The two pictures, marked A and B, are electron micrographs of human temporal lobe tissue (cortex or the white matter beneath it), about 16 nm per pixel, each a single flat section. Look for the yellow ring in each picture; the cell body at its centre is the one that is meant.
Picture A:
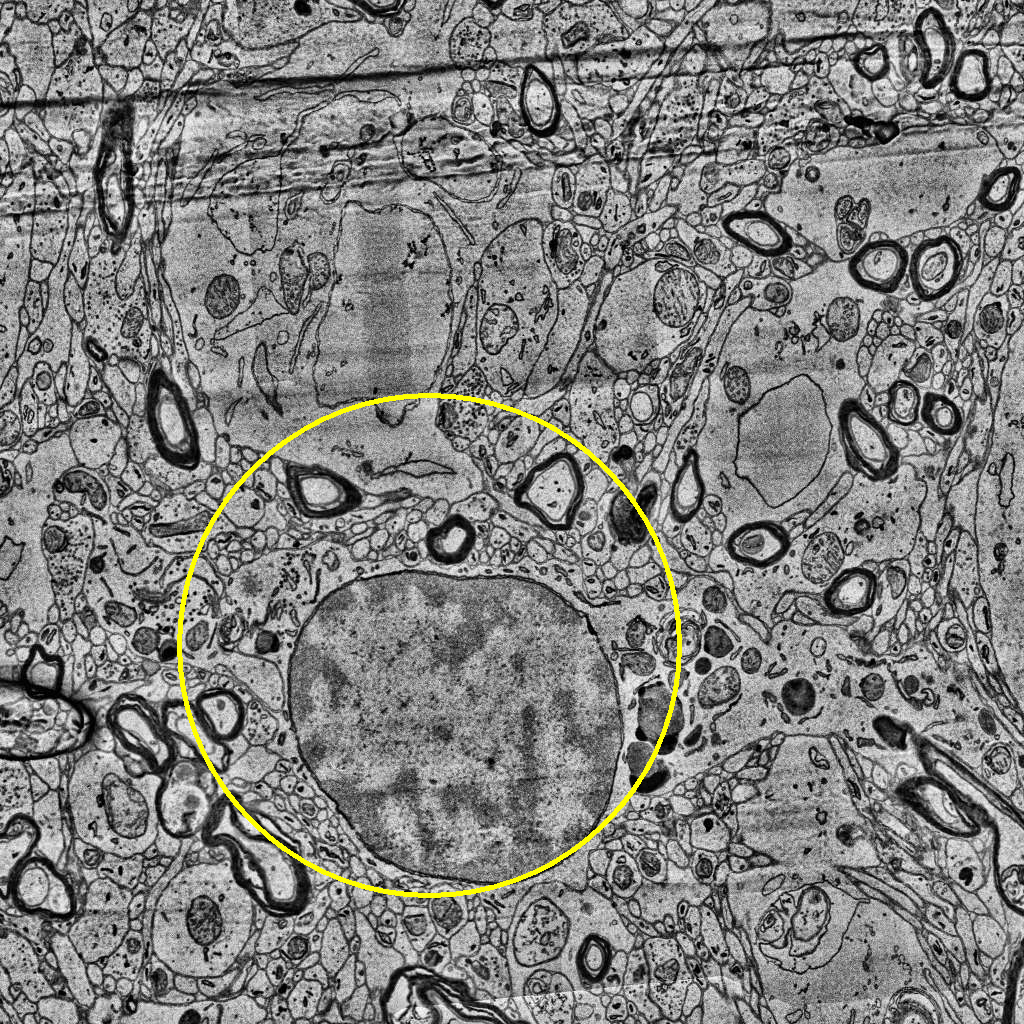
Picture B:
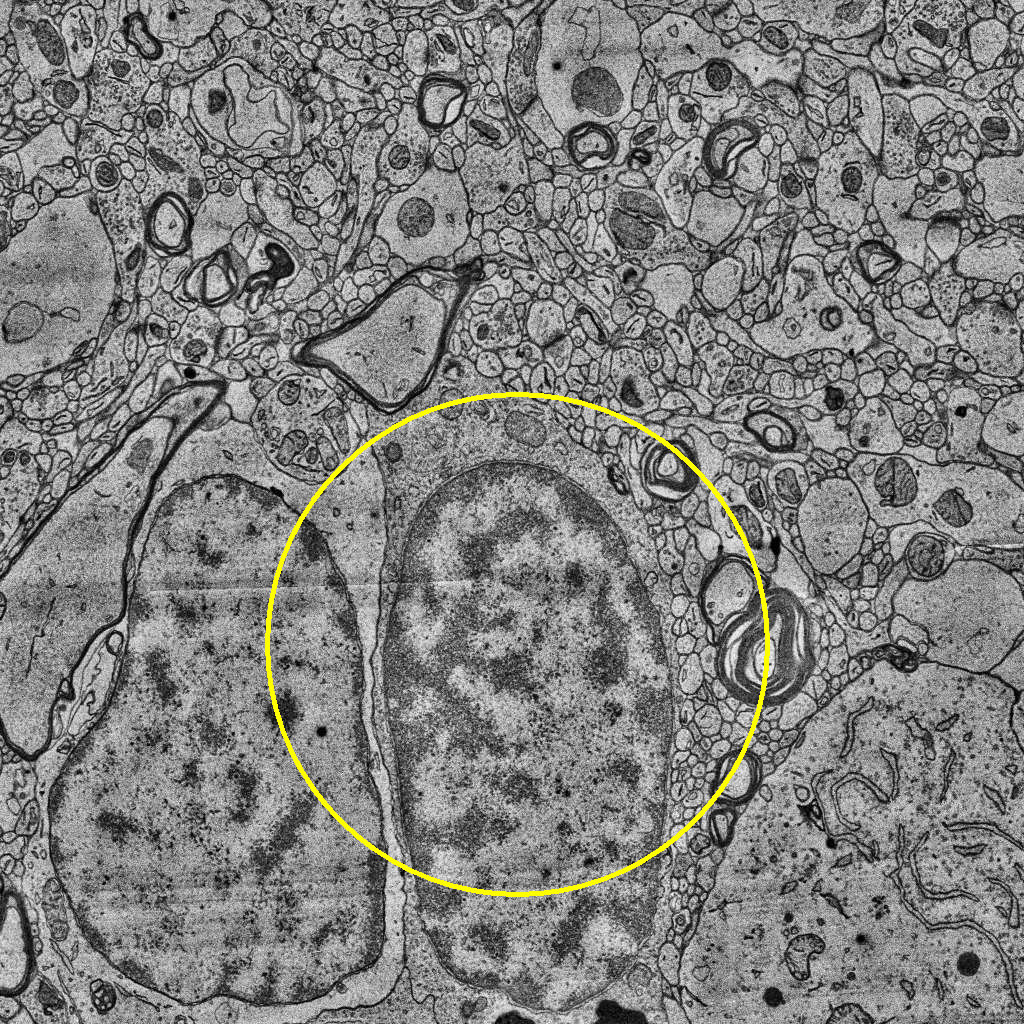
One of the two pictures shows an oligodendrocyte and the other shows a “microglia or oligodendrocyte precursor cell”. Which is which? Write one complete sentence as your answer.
It is picture A that shows a “microglia or oligodendrocyte precursor cell”, and picture B that shows an oligodendrocyte.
